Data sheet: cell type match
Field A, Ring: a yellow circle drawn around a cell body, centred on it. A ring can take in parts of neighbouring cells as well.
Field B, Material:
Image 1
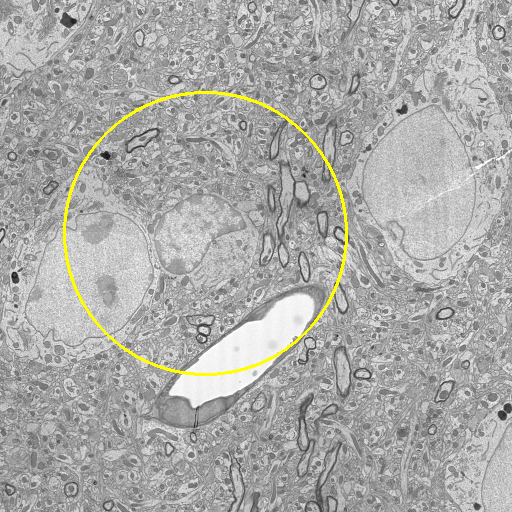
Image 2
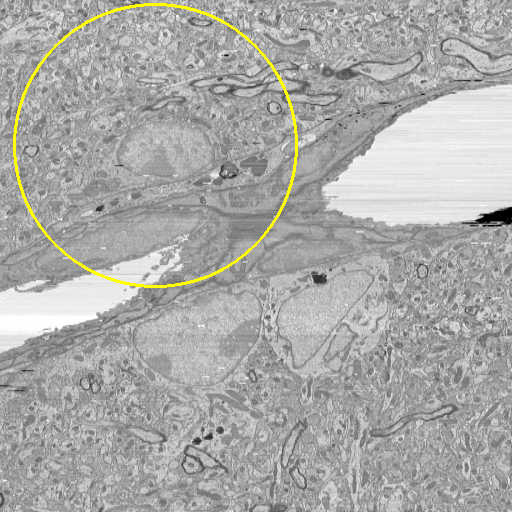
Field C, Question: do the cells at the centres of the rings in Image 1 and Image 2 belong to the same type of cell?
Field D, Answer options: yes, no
yes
